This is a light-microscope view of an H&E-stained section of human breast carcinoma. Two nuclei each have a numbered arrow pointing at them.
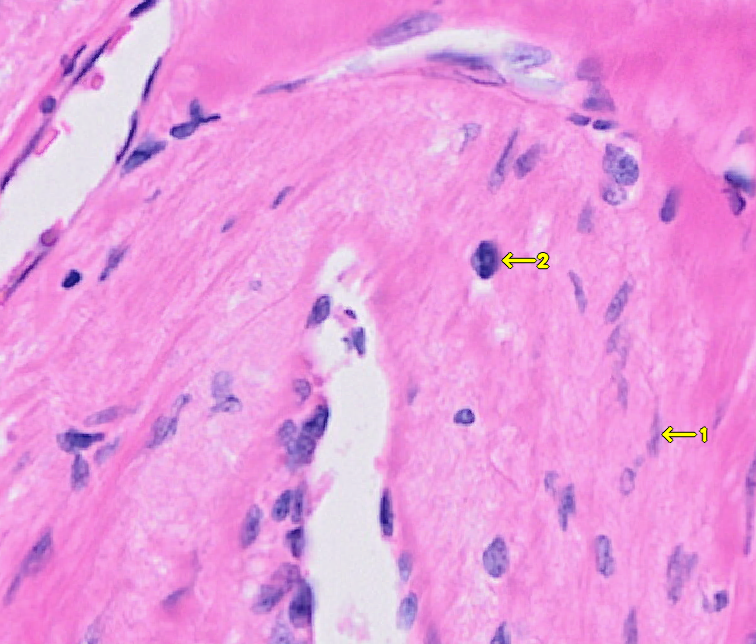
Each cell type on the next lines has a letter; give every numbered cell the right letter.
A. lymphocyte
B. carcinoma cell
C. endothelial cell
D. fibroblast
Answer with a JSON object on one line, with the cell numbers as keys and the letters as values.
{"1": "D", "2": "A"}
